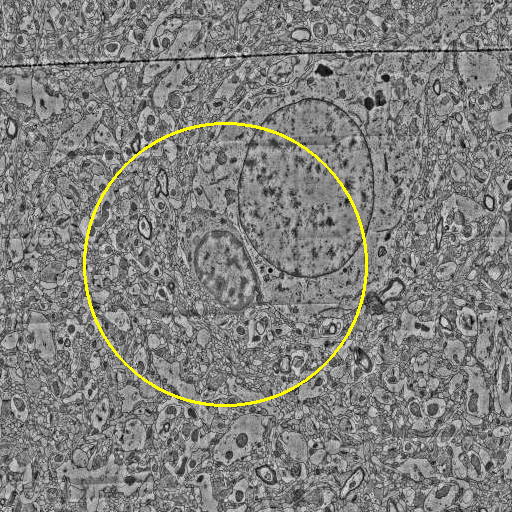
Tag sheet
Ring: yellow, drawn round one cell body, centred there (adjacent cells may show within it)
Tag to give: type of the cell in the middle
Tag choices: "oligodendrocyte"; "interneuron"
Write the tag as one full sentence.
I tag the cell centred in the yellow ring as an oligodendrocyte in this picture.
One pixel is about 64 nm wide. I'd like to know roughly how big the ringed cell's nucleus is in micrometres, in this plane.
Approximately 5 by 4 micrometers, which makes the nucleus clearly longer than it is wide in this plane.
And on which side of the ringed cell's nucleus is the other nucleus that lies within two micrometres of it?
The second nucleus sits to the upper right of it.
